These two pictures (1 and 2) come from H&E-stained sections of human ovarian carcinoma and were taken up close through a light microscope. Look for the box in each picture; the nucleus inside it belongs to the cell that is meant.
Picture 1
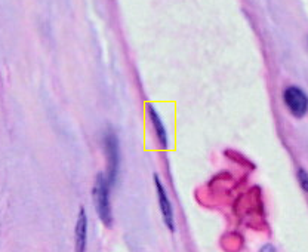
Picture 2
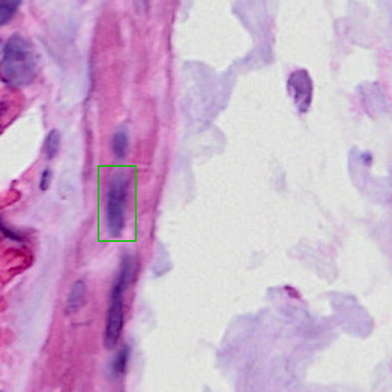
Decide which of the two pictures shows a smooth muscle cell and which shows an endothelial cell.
1: endothelial cell
2: smooth muscle cell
